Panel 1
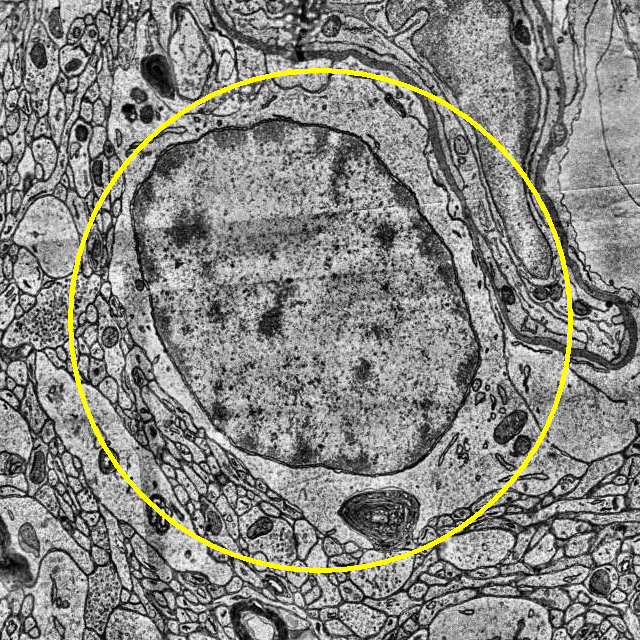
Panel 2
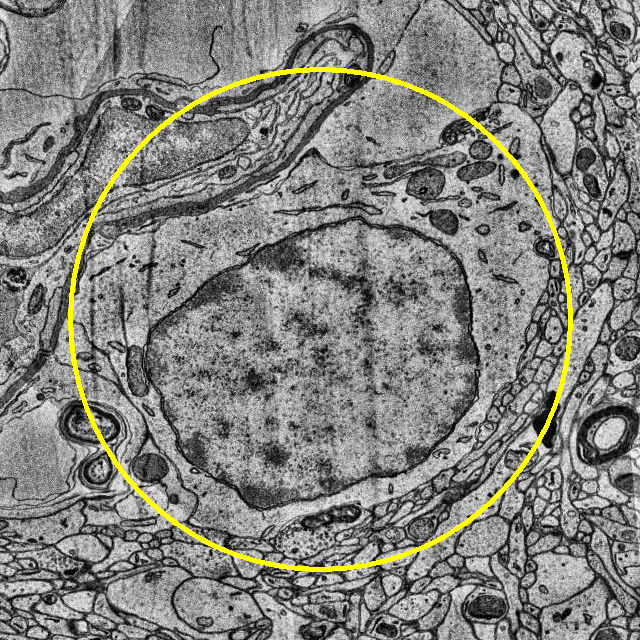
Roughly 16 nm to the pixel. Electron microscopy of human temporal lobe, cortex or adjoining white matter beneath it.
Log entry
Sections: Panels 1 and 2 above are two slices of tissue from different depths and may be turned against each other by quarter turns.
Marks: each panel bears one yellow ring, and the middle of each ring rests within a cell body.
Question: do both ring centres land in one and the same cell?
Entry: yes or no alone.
yes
